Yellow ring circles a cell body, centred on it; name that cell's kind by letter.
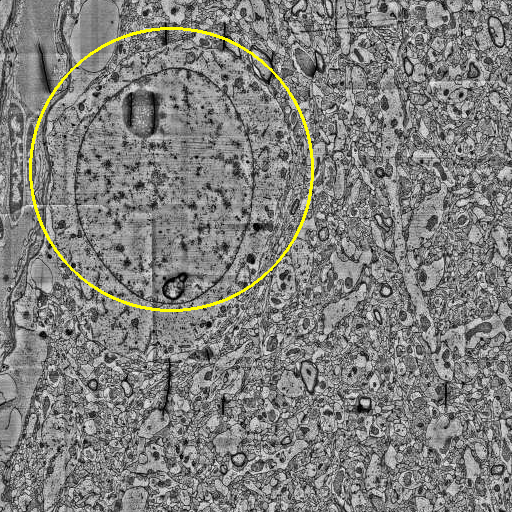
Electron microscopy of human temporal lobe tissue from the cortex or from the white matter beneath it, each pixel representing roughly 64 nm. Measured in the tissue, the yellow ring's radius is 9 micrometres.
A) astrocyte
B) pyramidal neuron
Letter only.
B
